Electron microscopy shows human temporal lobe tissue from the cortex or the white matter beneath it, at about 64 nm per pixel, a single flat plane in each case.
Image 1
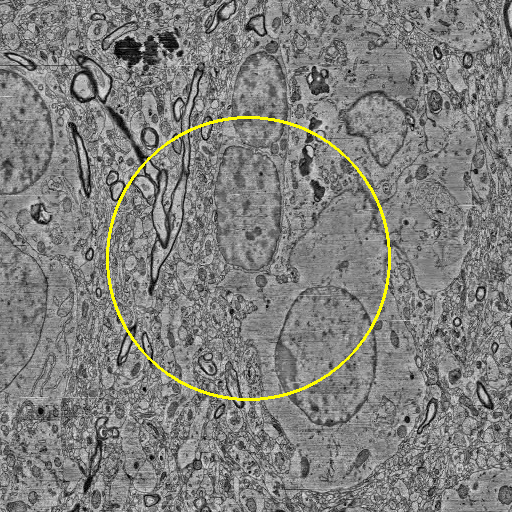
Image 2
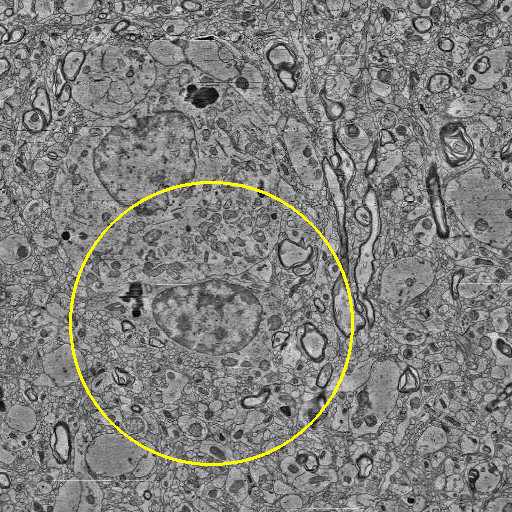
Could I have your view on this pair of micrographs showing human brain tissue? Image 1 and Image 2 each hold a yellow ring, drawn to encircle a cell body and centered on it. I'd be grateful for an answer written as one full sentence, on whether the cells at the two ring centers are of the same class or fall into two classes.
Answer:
The cells at the centers of the two rings are of the same class.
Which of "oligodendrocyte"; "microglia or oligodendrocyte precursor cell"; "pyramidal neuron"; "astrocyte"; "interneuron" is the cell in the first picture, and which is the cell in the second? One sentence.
Each of the two cells is an oligodendrocyte.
